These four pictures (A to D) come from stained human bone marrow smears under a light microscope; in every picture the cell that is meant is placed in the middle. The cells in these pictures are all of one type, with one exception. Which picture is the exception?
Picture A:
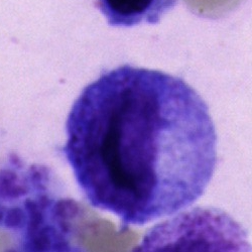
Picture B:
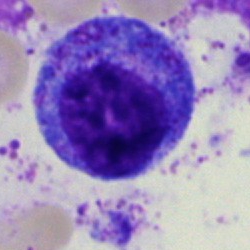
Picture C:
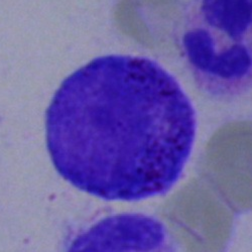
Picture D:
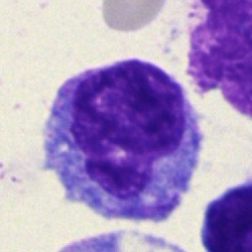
D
